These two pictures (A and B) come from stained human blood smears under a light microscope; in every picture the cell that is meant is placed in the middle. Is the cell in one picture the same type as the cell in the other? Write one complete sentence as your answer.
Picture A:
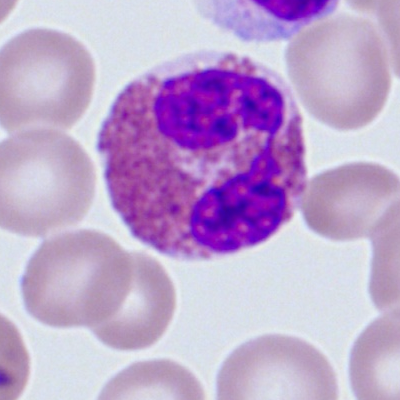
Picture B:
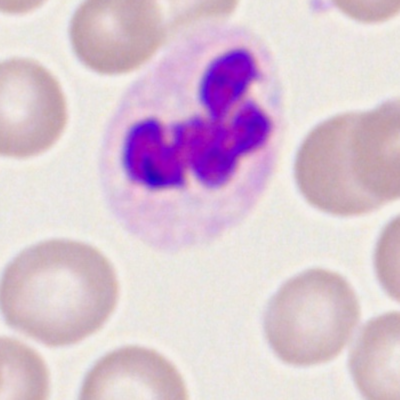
No; the cell in picture A is an eosinophil, while the one in picture B is a segmented neutrophil.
